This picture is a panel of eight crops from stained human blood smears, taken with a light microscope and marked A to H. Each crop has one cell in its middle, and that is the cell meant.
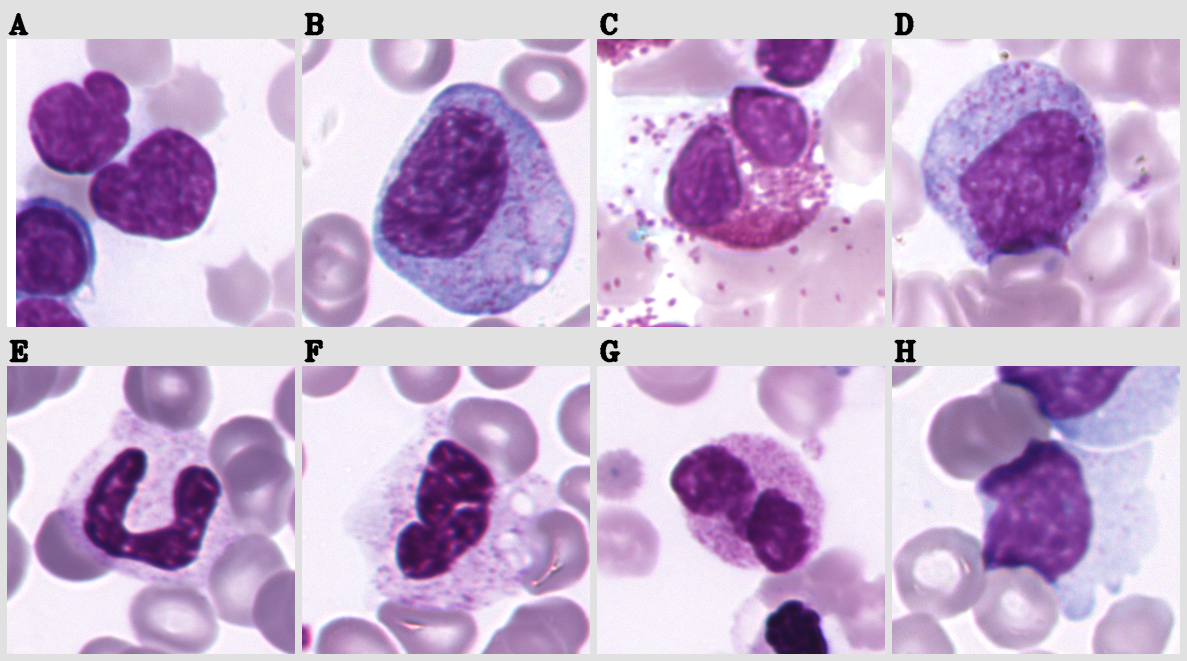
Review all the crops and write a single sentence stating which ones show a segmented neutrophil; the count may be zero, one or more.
With regard to crops E, F and G, the central cells are segmented neutrophils.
